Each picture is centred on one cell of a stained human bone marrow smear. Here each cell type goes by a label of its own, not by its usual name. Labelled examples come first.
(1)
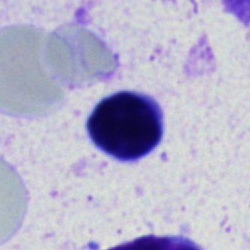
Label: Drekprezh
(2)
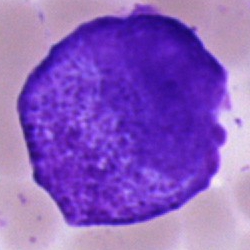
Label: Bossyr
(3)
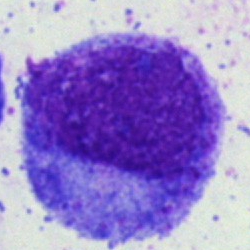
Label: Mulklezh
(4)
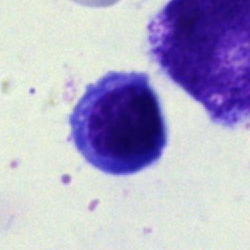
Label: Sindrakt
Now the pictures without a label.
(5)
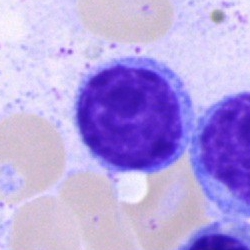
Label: Drekprezh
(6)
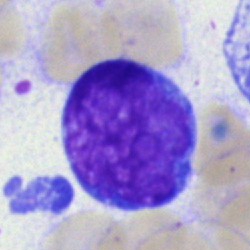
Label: Bossyr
